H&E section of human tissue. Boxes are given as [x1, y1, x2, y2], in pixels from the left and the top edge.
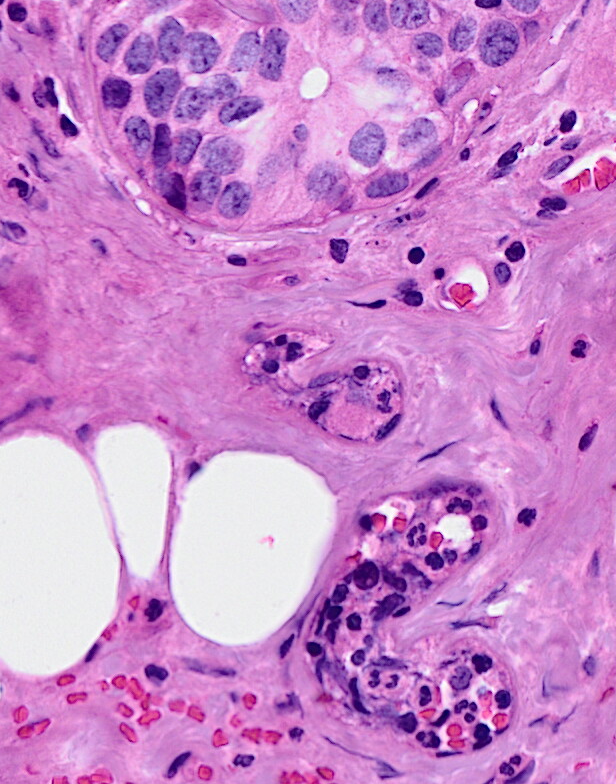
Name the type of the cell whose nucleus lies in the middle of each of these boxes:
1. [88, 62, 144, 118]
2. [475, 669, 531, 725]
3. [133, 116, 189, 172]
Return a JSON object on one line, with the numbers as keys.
{"1": "carcinoma cell", "2": "lymphocyte", "3": "carcinoma cell"}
